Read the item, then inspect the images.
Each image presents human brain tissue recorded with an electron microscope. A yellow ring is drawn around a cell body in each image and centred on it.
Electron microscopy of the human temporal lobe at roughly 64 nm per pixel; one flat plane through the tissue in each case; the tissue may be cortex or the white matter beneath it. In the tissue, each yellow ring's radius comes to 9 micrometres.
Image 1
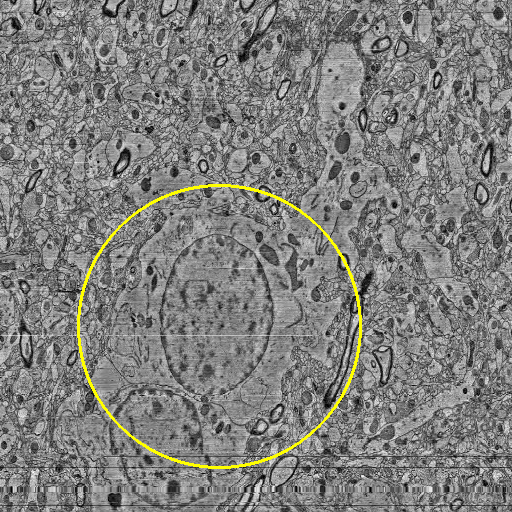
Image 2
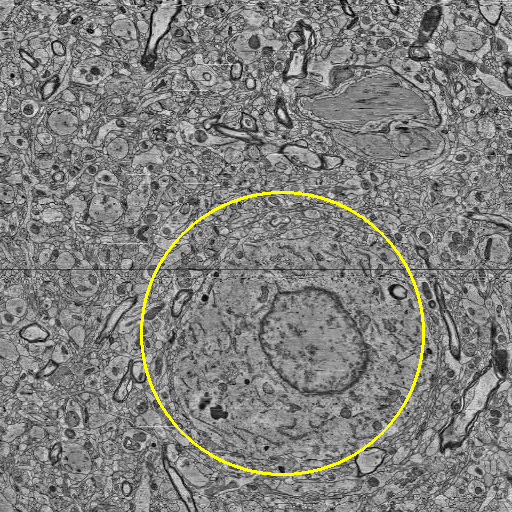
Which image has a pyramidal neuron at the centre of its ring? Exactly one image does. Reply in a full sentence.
The ring in Image 2 is centred on it.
